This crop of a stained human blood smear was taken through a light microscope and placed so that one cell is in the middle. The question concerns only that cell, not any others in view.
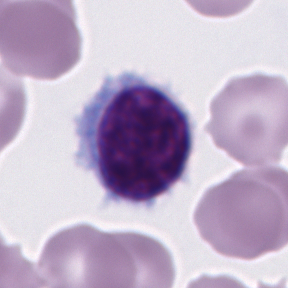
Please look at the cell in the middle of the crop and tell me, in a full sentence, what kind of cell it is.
The centrally located cell in the crop is a hairy cell.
